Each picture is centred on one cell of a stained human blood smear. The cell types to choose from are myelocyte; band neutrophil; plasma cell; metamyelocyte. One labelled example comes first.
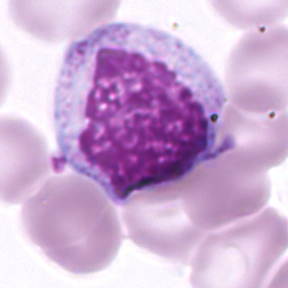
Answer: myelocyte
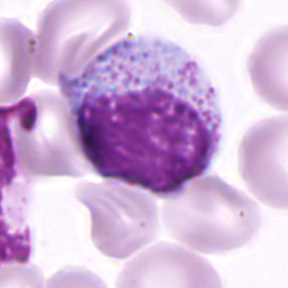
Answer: metamyelocyte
